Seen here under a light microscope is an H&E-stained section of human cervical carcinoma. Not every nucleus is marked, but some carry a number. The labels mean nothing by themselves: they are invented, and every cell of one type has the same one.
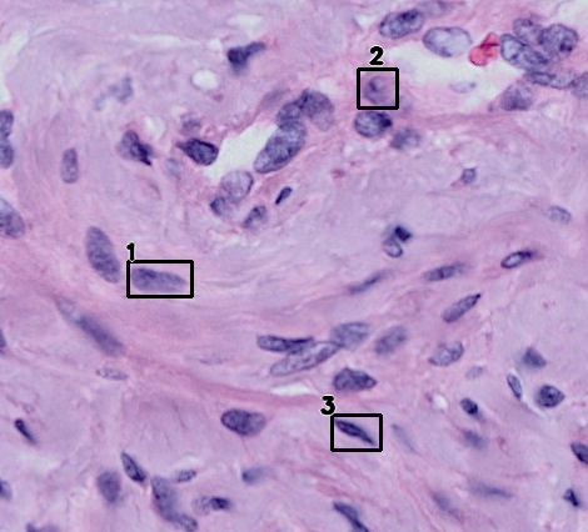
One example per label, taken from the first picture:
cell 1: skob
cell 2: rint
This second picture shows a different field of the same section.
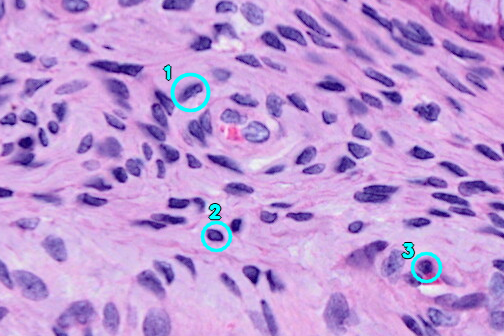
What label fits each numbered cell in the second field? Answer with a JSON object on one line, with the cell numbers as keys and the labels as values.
{"1": "skob", "2": "skob", "3": "rint"}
